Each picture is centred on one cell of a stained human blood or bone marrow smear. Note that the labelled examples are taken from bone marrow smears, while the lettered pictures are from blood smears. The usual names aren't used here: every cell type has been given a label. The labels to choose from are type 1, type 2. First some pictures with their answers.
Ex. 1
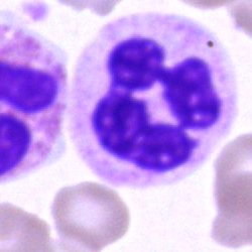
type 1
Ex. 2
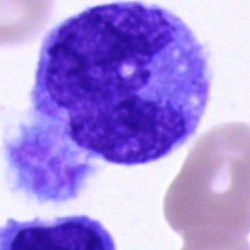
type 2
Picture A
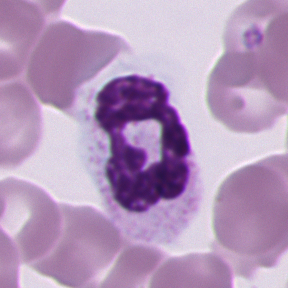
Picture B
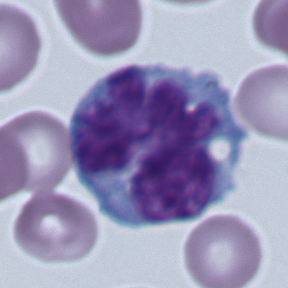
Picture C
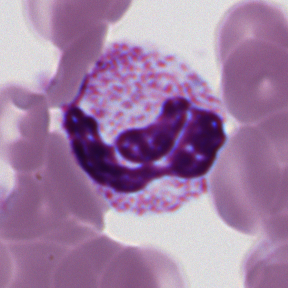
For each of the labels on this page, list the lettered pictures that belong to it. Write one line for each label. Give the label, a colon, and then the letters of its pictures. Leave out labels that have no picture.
type 1: A, C
type 2: B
